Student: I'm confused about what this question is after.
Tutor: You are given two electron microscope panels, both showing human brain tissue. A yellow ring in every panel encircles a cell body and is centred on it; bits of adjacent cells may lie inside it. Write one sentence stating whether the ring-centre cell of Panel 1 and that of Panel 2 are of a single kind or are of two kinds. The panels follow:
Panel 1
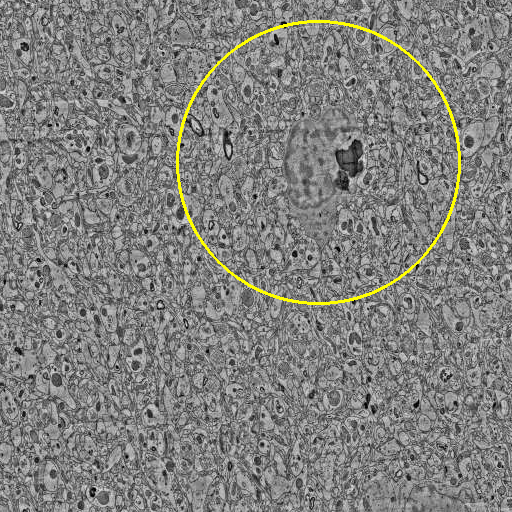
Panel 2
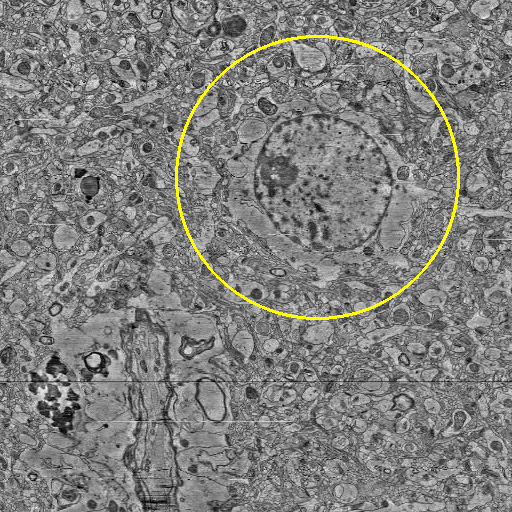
Here, the Panel 1 ring-centre cell and the Panel 2 ring-centre cell are of two kinds.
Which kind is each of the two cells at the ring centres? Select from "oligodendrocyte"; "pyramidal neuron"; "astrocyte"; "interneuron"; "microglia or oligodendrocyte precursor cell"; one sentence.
The cell at the centre of the ring is an oligodendrocyte in the first picture and an astrocyte in the second.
